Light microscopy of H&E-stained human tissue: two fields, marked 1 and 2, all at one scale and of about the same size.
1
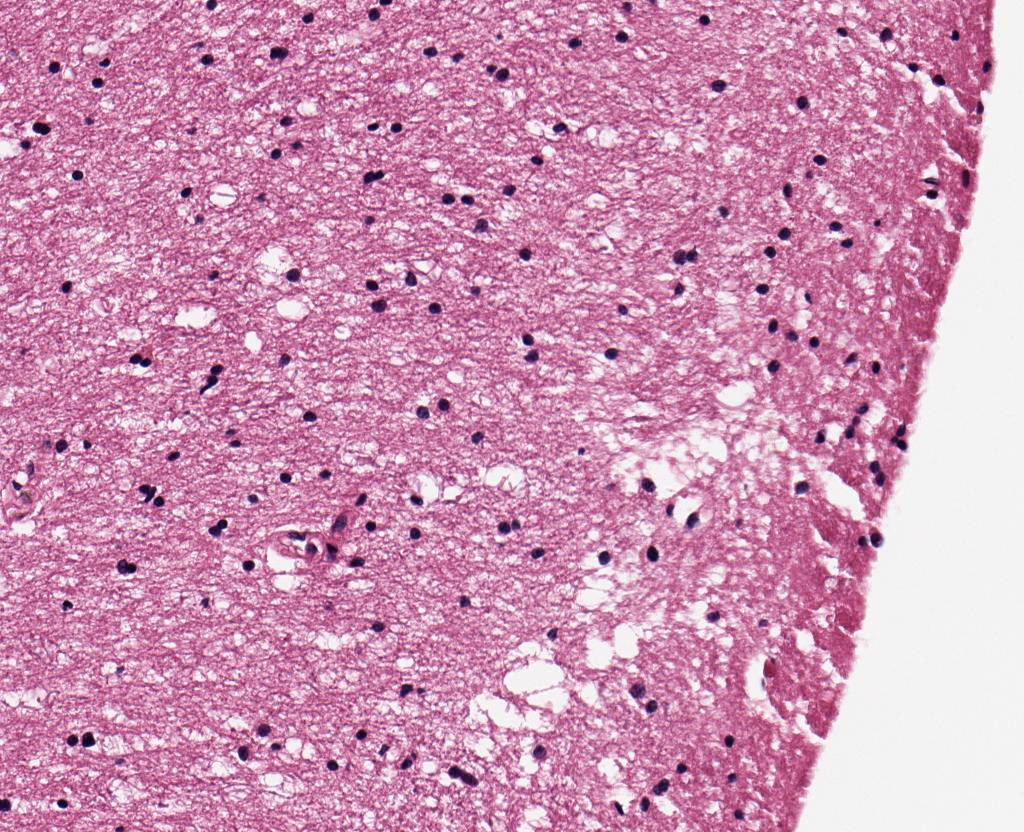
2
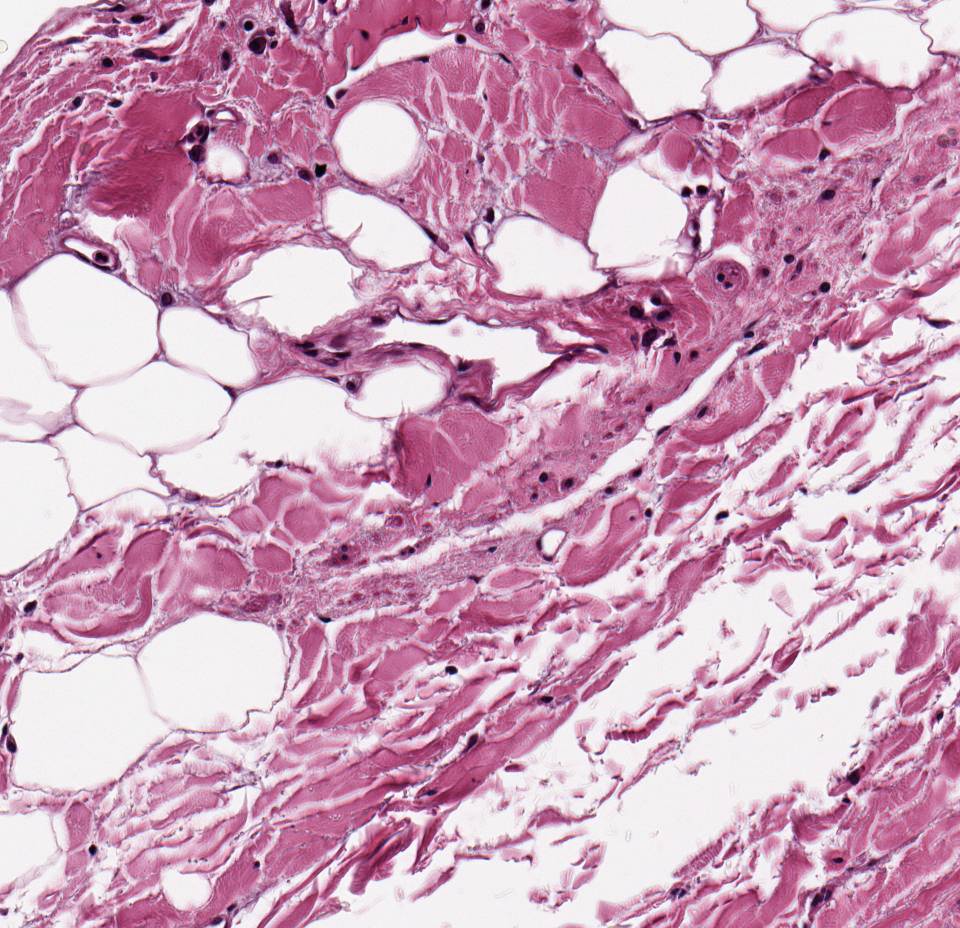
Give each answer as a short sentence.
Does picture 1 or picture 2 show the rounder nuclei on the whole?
On the whole the nuclei of picture 1 are rounder than those of picture 2.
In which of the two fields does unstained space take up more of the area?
It is picture 2 in which white space covers the larger part.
